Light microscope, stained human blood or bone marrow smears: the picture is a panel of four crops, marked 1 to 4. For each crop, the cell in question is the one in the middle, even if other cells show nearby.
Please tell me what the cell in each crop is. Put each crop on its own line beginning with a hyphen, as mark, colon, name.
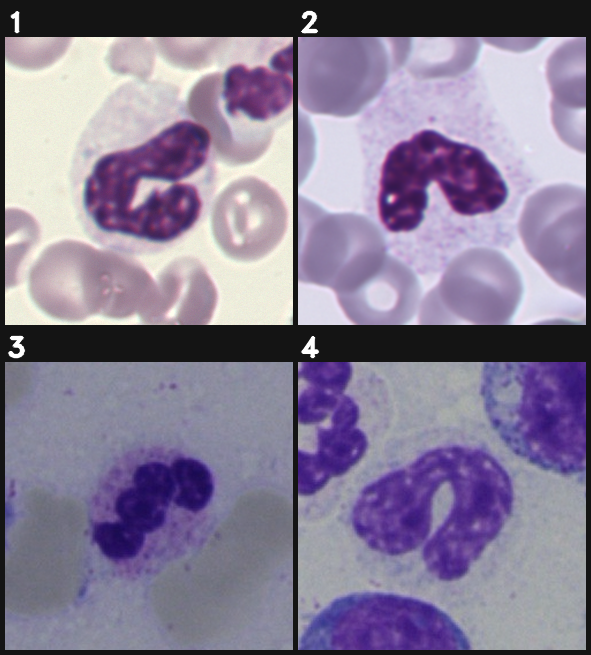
- 1: band neutrophil
- 2: band neutrophil
- 3: segmented neutrophil
- 4: band neutrophil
